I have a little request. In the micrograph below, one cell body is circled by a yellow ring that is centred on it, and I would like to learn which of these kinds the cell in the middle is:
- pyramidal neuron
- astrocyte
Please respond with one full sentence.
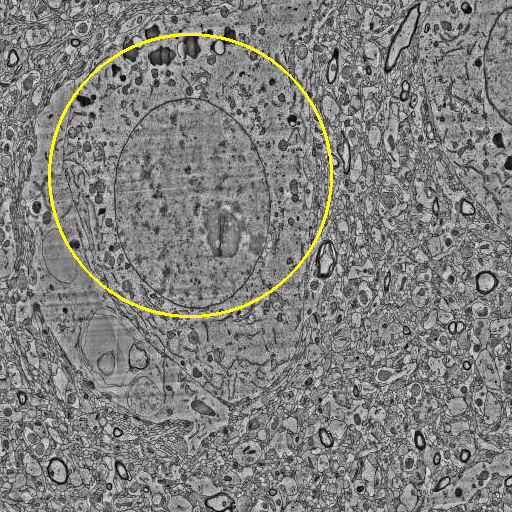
The cell sitting in the middle of the yellow ring in the micrograph is a pyramidal neuron.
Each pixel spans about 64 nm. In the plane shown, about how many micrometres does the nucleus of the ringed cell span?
Approximately 14 micrometres long and 10 micrometres wide, in this plane.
